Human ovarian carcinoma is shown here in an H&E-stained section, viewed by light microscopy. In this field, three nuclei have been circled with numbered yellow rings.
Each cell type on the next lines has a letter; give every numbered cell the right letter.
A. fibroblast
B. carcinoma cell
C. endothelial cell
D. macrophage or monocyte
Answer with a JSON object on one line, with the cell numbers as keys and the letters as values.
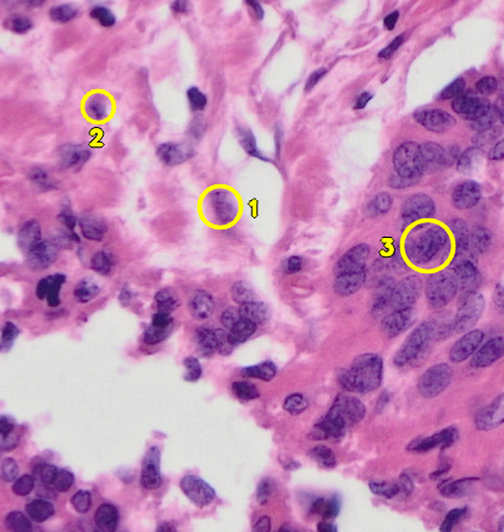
{"1": "A", "2": "A", "3": "B"}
